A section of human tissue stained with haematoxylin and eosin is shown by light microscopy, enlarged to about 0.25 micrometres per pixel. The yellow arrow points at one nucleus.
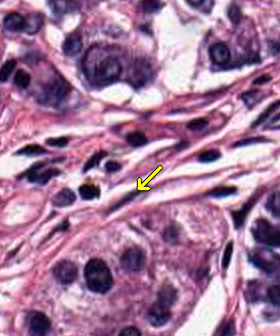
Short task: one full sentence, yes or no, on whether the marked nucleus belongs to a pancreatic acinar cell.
No, it is a supporting cell whose nucleus is marked, not a pancreatic acinar cell.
